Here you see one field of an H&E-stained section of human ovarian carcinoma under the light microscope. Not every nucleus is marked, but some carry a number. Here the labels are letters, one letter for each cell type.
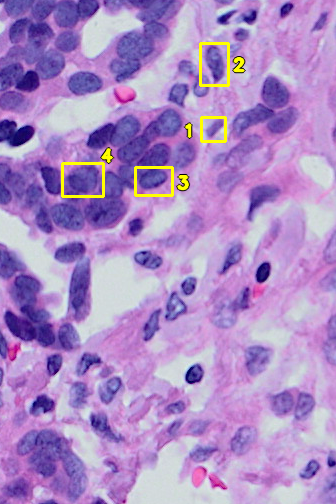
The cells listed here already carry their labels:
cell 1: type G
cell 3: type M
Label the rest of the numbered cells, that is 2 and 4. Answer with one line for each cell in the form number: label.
2: type G
4: type M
